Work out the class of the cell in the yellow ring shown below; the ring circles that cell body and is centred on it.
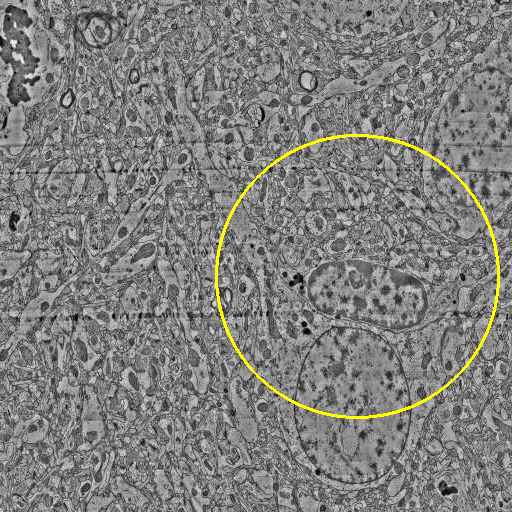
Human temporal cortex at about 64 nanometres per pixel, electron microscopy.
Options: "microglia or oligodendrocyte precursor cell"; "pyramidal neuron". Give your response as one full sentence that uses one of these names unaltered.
The body ringed in yellow, right at the ring's centre, is that of a microglial cell or oligodendrocyte precursor cell.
